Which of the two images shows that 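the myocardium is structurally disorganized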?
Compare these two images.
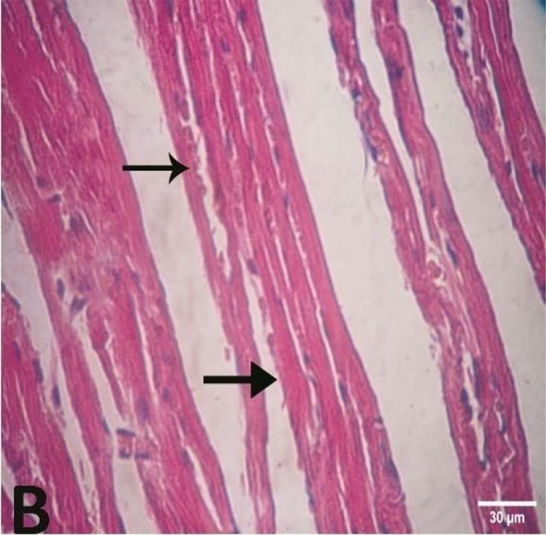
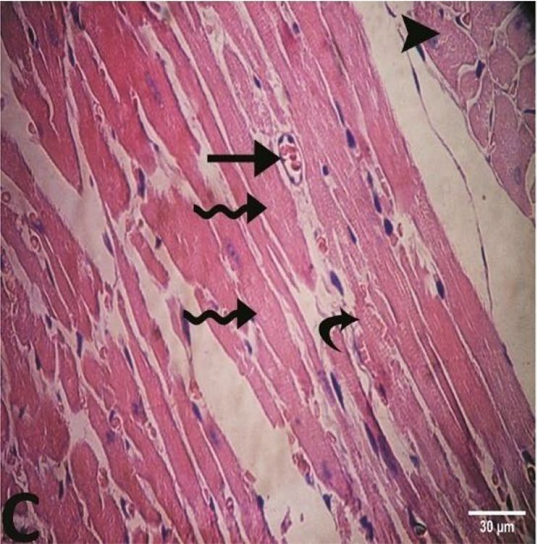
The second image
